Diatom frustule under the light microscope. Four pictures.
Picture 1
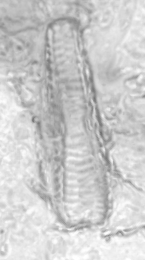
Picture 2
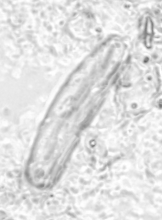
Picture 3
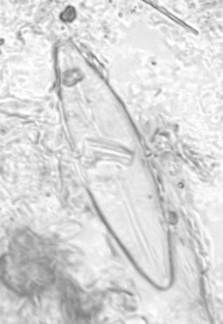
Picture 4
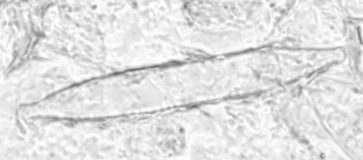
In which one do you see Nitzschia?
In picture 4.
